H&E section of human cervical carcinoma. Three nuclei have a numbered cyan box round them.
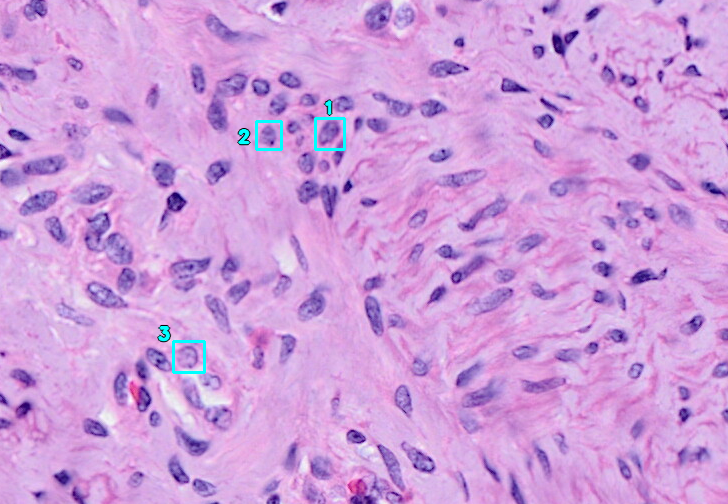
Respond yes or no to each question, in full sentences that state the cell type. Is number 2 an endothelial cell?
No, the cell with number 2 is not an endothelial cell but a smooth muscle cell.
